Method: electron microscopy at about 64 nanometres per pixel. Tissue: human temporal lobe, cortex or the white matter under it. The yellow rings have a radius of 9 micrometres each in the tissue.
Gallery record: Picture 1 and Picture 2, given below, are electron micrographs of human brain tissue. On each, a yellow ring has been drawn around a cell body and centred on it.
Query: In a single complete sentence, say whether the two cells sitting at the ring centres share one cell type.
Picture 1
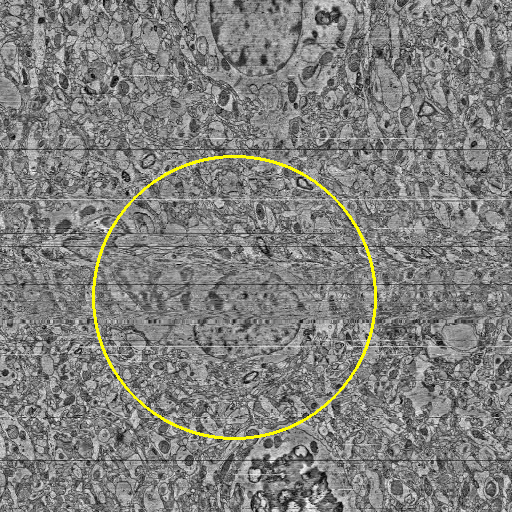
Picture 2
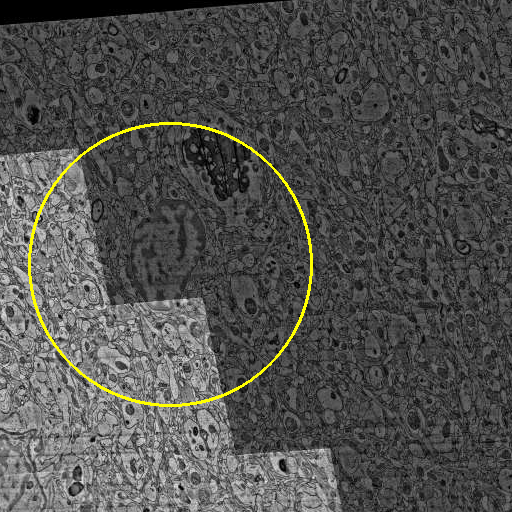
Yes, in both pictures the cell at the ring's centre is of one and the same type.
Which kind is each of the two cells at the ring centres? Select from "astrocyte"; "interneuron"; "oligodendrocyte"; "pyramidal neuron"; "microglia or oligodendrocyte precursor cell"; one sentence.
In both pictures the ring is centred on a microglial cell or oligodendrocyte precursor cell.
